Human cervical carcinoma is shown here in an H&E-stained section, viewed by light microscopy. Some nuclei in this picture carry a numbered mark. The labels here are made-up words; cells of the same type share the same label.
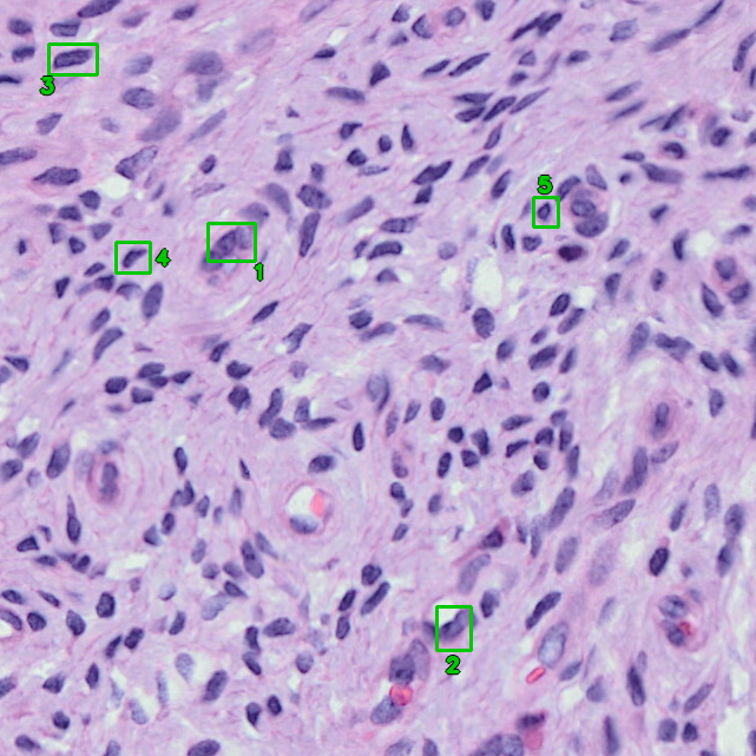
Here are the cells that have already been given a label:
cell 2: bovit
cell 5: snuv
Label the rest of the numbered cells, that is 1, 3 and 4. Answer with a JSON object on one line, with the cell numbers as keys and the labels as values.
{"1": "bovit", "3": "snuv", "4": "snuv"}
